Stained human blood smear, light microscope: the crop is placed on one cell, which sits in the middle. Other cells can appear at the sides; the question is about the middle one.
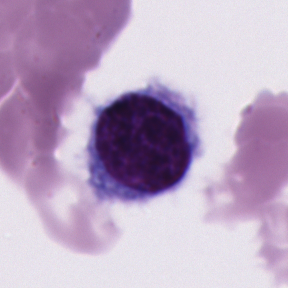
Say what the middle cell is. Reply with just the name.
hairy cell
